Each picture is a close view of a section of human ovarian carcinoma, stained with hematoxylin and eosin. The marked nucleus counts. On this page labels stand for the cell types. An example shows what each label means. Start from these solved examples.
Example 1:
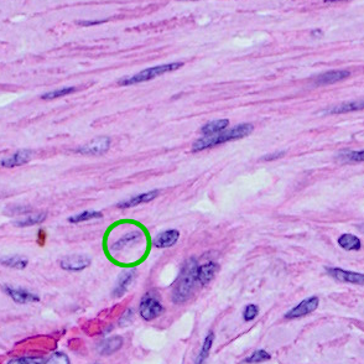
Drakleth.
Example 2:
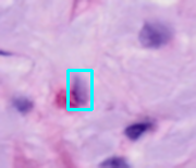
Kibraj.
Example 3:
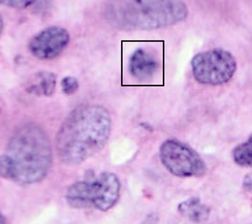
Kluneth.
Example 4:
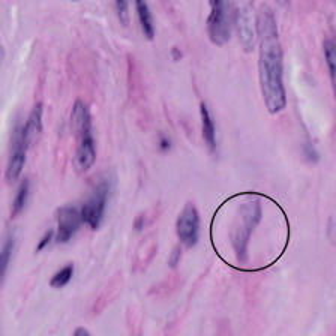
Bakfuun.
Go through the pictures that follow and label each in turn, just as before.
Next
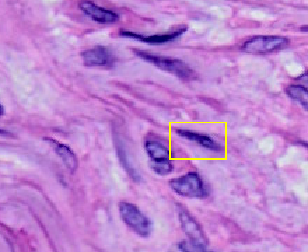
Drakleth.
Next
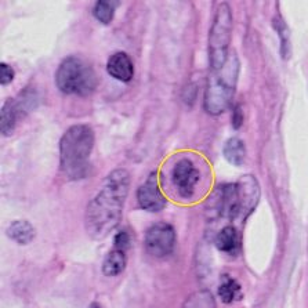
Kluneth.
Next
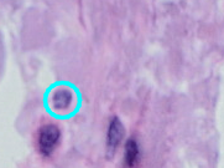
Kluneth.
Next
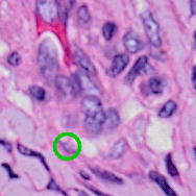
Drakleth.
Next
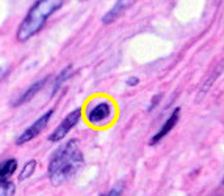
Kluneth.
